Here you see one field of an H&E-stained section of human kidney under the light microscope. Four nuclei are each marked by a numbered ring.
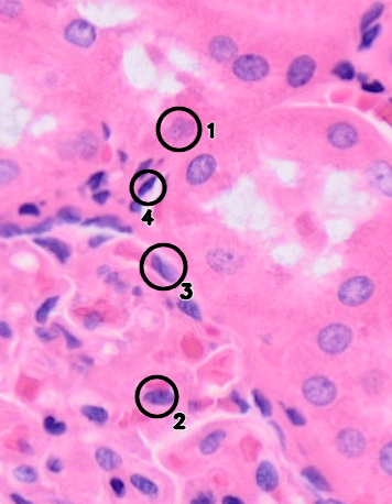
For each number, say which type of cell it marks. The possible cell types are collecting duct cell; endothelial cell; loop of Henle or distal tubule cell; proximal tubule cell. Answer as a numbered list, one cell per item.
1. proximal tubule cell
2. endothelial cell
3. endothelial cell
4. endothelial cell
